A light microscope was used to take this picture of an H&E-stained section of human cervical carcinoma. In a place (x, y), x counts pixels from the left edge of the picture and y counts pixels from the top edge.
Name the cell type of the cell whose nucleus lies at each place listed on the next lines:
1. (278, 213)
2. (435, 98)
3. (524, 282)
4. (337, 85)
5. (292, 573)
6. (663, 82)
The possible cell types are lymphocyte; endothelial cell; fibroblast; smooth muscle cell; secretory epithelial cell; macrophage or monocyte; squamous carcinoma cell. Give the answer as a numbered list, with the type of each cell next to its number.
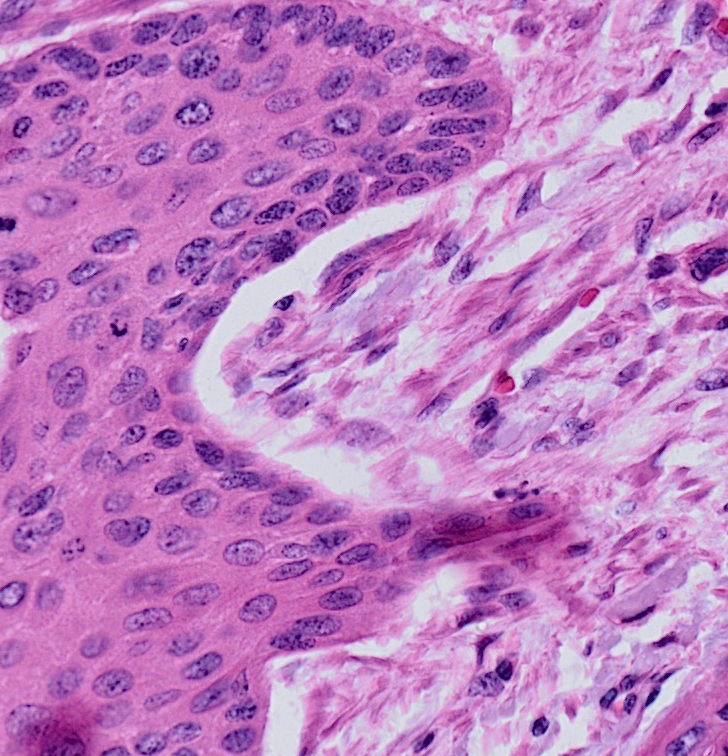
1. squamous carcinoma cell
2. squamous carcinoma cell
3. fibroblast
4. squamous carcinoma cell
5. squamous carcinoma cell
6. fibroblast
